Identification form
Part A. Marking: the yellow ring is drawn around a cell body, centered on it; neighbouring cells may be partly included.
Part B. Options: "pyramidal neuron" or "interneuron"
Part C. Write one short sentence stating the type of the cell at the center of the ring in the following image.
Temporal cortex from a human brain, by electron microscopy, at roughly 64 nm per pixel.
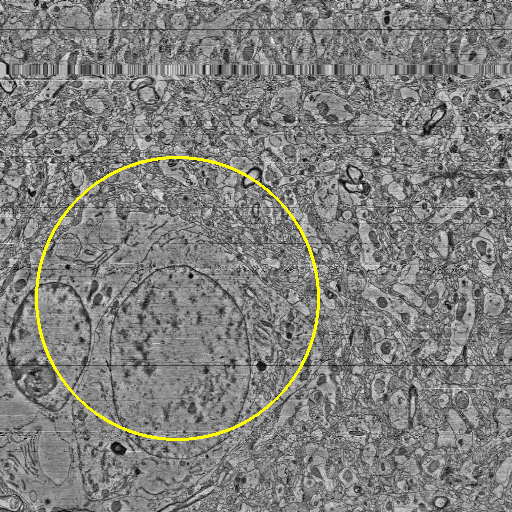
The center of the ring holds a pyramidal neuron.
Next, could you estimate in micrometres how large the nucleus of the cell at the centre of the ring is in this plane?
Roughly 13 micrometres by 9 micrometres, in this plane.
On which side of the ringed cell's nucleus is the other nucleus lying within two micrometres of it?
The other nucleus lies to the left of it in the picture.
